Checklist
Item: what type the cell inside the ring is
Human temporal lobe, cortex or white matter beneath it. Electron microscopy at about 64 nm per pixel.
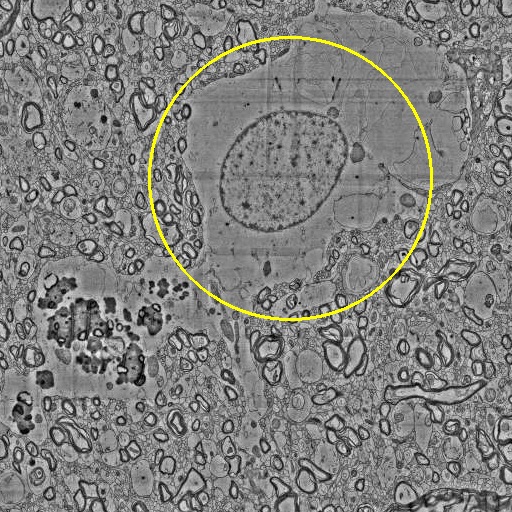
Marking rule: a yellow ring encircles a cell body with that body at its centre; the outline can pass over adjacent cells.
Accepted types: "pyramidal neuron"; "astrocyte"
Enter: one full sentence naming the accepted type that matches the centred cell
The entry is that an astrocyte lies at the centre of the yellow ring.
